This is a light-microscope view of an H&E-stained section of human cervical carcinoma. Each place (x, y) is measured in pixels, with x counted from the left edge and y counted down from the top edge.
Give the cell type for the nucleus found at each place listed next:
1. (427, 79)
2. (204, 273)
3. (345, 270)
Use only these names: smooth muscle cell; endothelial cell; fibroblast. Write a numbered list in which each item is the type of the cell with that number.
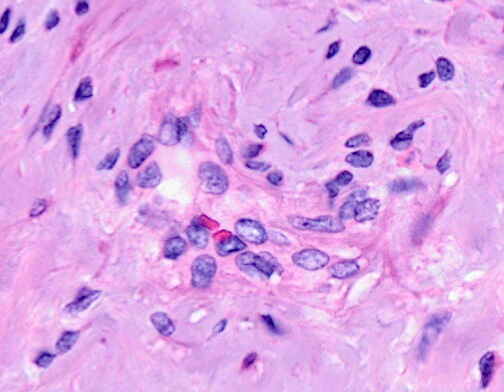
1. fibroblast
2. endothelial cell
3. endothelial cell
